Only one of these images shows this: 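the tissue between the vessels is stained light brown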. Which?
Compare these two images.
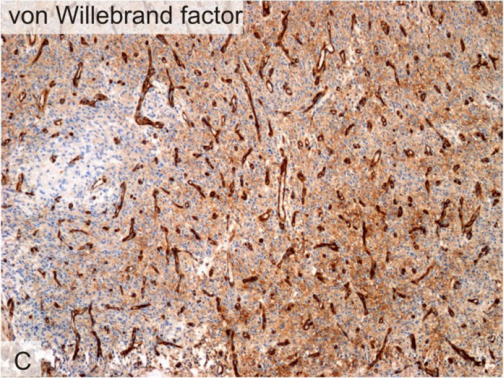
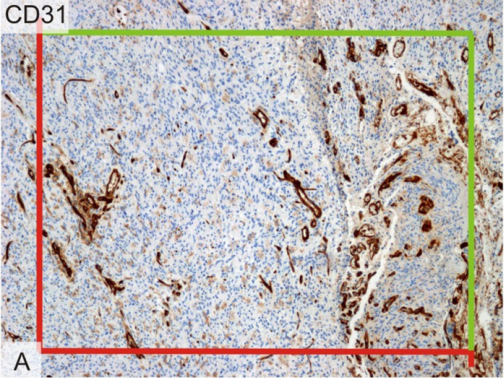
The first image.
